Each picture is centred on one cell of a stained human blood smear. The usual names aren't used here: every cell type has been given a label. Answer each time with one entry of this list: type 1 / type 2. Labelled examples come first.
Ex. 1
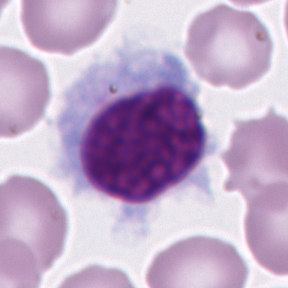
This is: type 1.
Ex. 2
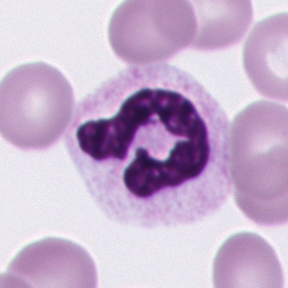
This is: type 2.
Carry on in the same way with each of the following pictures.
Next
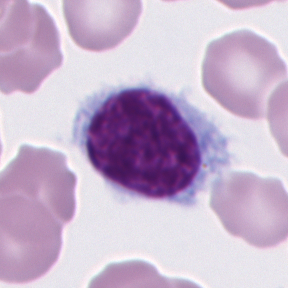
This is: type 1.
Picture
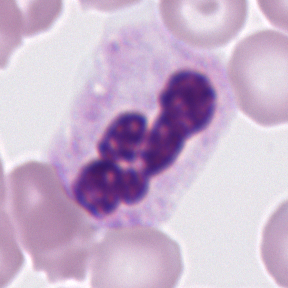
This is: type 2.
